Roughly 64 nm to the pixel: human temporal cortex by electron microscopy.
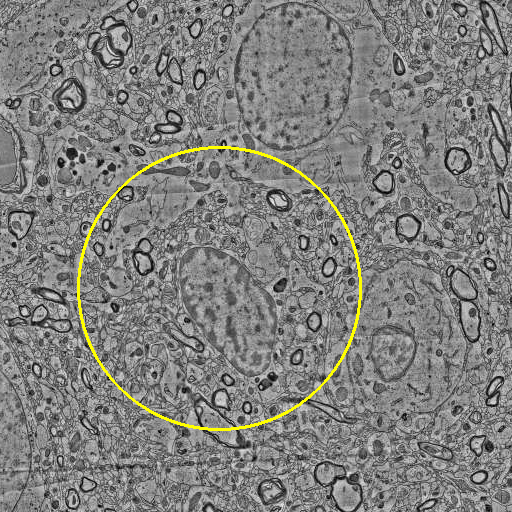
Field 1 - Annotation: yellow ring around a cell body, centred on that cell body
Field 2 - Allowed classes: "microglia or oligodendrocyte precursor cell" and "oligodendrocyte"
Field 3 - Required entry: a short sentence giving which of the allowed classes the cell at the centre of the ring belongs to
The centred cell is a microglial cell or oligodendrocyte precursor cell.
